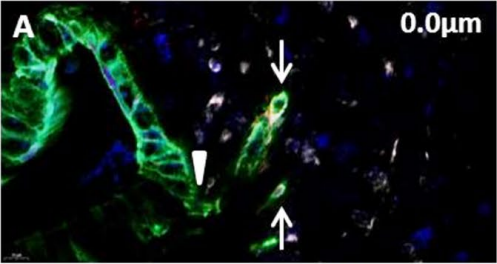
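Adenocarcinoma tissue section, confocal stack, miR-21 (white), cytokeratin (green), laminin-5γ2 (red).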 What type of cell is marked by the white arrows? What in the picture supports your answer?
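Small green-outlined epithelial cells lie between the two white arrows. They sit in the stroma to the right of the large green epithelial structure. They appear separate from the larger epithelial structure in this plane. On this evidence: budding cancer cell.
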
